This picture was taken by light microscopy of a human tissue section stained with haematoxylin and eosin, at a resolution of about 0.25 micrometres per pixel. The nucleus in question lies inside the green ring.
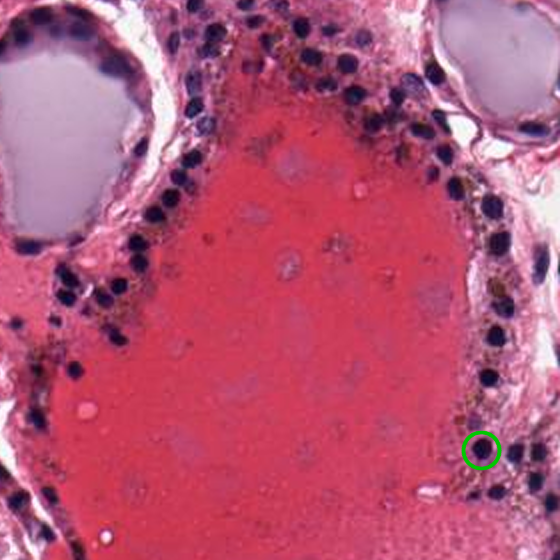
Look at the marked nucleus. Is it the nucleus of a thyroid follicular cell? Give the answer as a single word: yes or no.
yes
